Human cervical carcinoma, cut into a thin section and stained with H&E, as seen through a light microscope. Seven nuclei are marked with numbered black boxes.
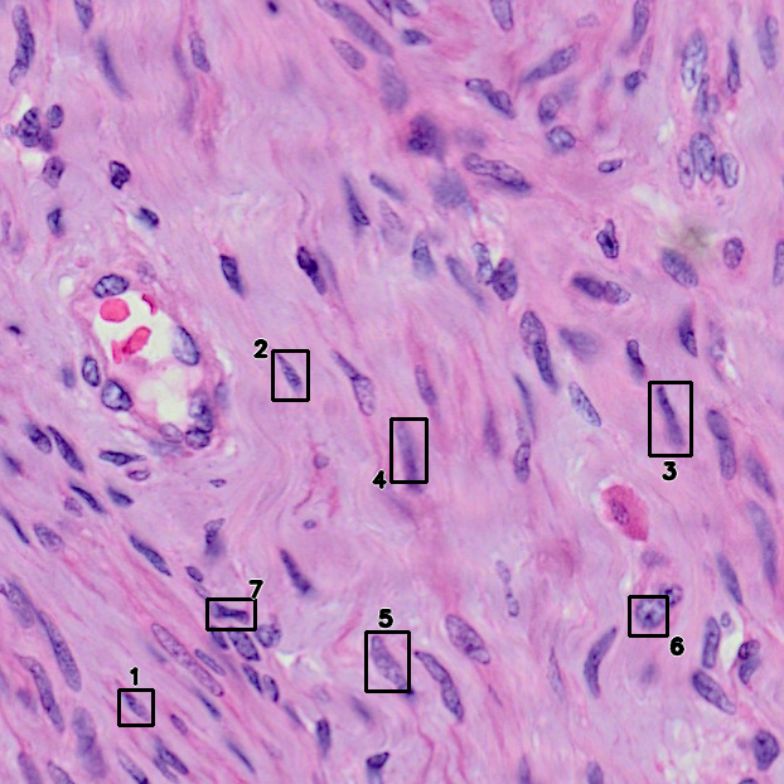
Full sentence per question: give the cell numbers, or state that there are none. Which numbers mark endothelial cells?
In contrast to the remaining marked cells, cell 6 is an endothelial cell.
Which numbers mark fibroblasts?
The cells that the numbers 2, 3 and 7 belong to are fibroblasts.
